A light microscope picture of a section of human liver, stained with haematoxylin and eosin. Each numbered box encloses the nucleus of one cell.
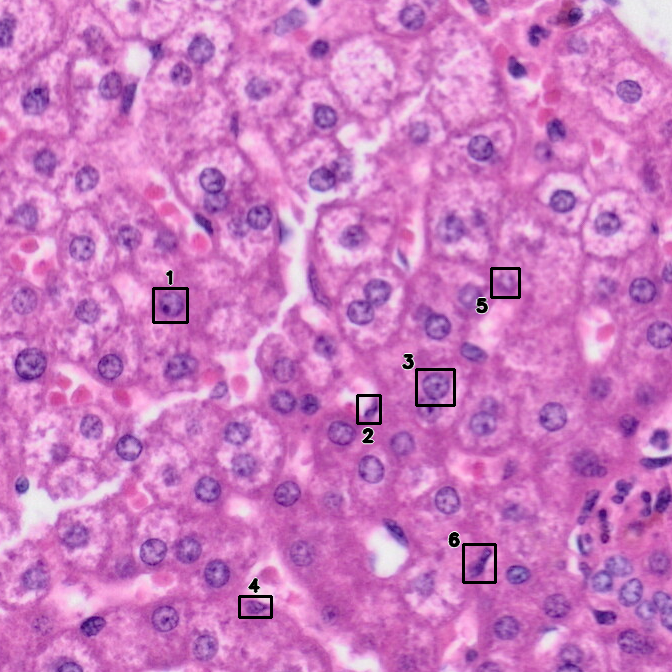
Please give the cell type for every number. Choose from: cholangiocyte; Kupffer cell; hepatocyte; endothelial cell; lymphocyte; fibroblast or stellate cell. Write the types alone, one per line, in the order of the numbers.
hepatocyte
endothelial cell
hepatocyte
fibroblast or stellate cell
hepatocyte
fibroblast or stellate cell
